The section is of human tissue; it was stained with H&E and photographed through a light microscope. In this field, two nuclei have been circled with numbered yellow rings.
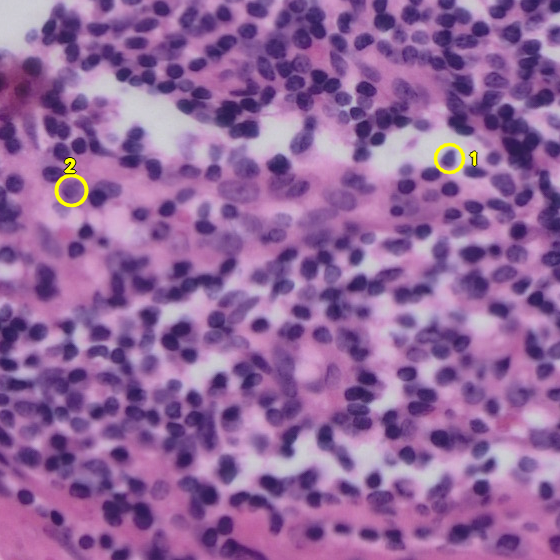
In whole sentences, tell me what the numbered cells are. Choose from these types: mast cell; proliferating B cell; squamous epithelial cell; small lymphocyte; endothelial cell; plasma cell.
Cell 1 is a small lymphocyte. Cell 2 is an endothelial cell.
